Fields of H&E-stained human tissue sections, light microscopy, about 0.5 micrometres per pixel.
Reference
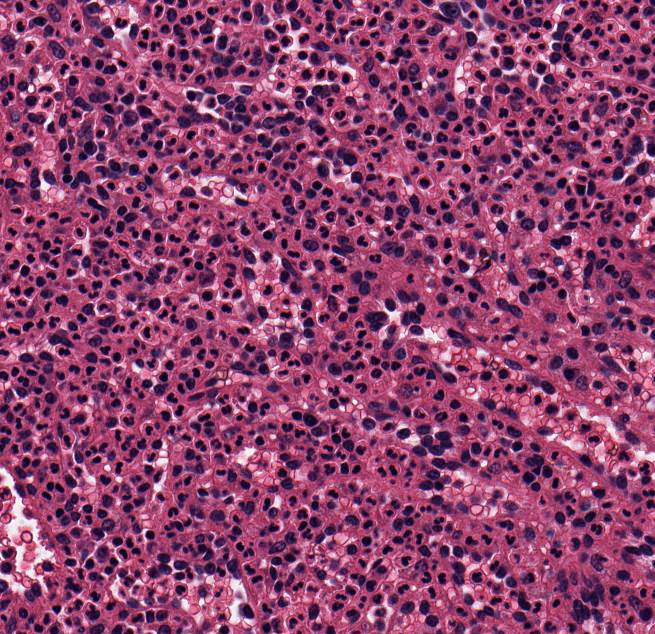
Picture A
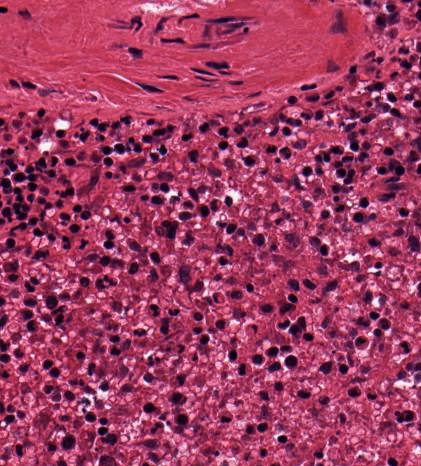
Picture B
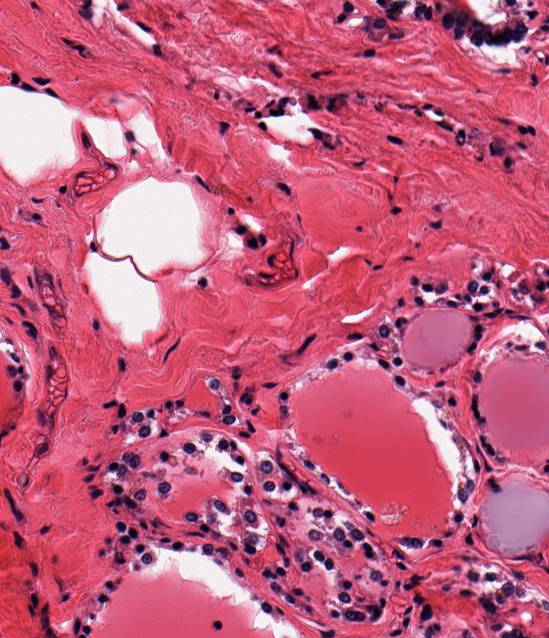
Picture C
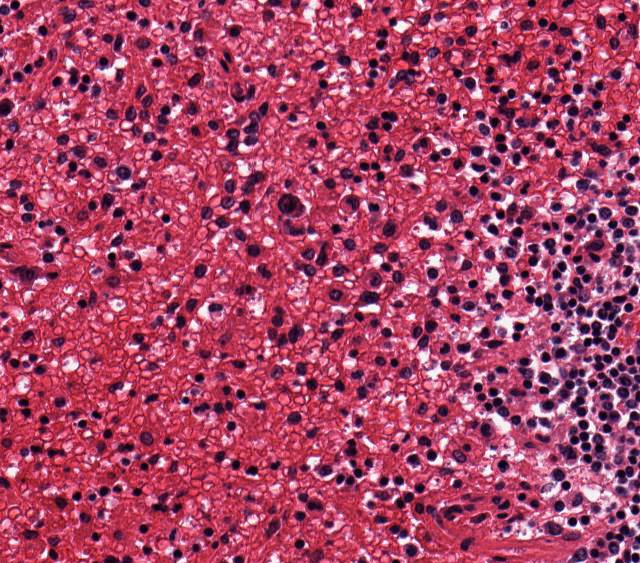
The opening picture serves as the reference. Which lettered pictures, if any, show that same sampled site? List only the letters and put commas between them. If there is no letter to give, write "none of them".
A, C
